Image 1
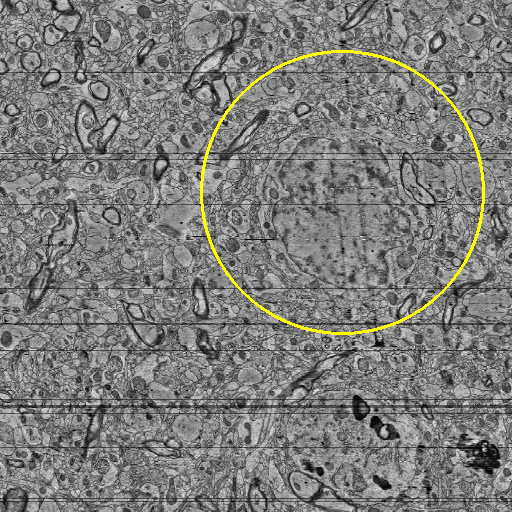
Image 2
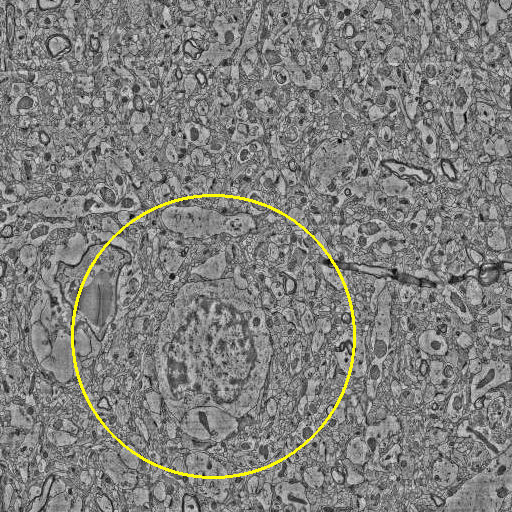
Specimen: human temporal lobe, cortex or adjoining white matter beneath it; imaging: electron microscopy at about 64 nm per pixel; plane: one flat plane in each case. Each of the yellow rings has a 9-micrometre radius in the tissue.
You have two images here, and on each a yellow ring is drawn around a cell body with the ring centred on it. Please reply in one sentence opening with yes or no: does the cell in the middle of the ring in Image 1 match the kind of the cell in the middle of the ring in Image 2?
Yes, the two images show cells of one kind at the centres of their rings.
